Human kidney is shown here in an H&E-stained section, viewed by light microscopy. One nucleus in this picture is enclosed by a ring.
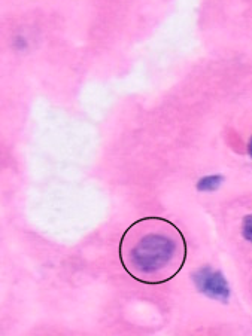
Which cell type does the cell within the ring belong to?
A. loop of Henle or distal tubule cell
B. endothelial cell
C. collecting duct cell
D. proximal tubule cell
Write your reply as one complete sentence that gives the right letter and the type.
The correct option is D, and the cell within the ring is a proximal tubule cell.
